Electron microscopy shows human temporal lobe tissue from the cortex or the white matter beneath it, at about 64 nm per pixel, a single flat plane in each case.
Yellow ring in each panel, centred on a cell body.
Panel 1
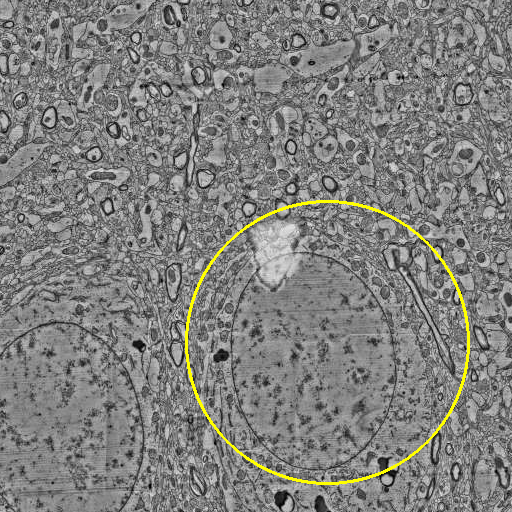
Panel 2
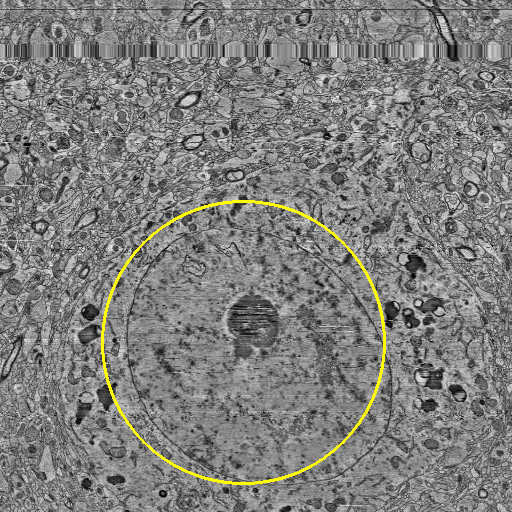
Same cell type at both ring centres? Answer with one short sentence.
Yes, both cells are of the same type.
